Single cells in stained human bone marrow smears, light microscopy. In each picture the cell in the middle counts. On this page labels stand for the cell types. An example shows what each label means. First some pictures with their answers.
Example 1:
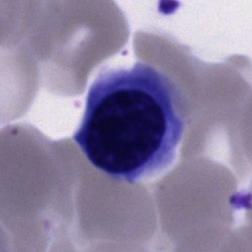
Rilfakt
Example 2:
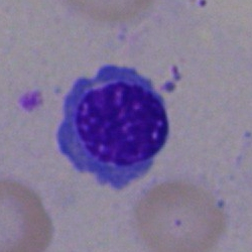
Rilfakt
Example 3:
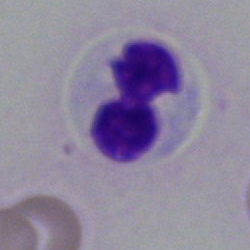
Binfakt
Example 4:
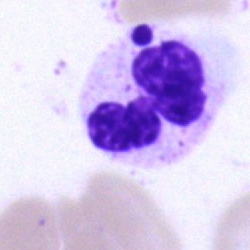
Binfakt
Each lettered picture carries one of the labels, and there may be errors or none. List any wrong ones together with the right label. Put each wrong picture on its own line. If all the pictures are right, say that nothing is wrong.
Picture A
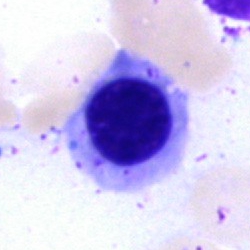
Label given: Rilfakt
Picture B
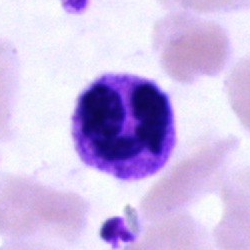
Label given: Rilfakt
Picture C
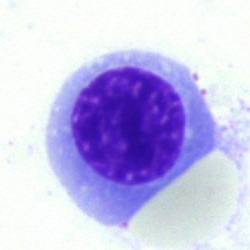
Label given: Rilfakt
B should be Binfakt, not Rilfakt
